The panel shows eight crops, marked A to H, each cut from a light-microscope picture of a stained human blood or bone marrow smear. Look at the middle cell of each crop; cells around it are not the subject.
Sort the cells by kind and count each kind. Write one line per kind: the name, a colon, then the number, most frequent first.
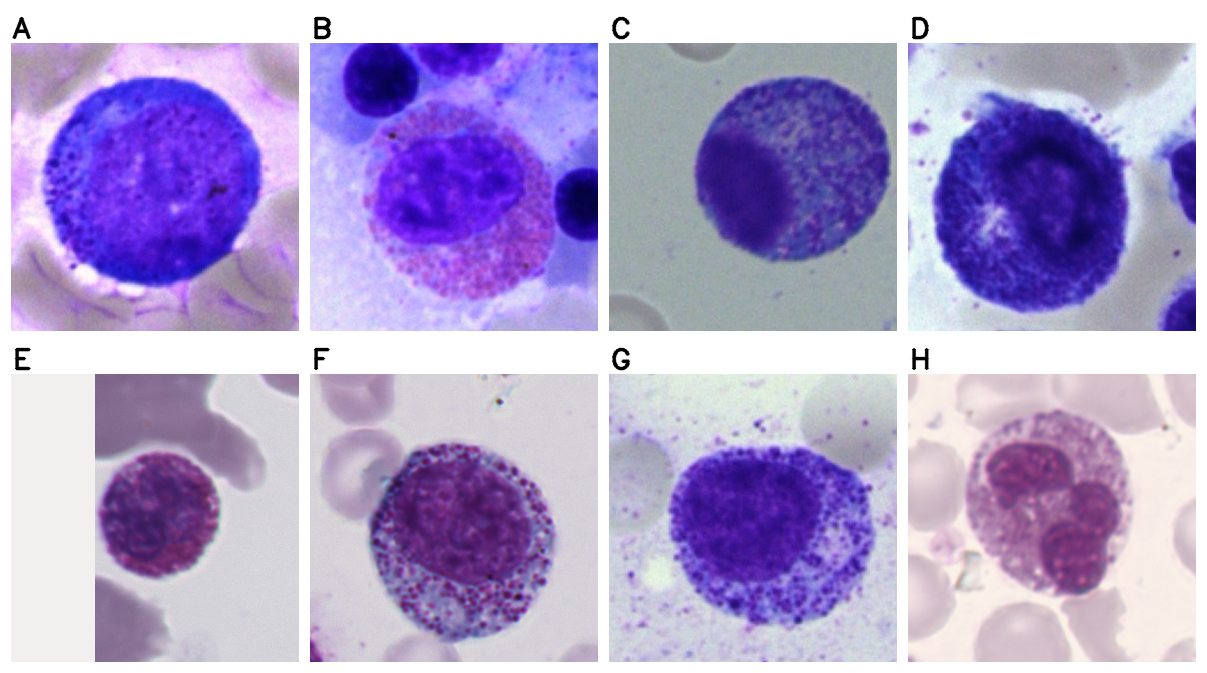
promyelocyte: 5
eosinophil: 3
